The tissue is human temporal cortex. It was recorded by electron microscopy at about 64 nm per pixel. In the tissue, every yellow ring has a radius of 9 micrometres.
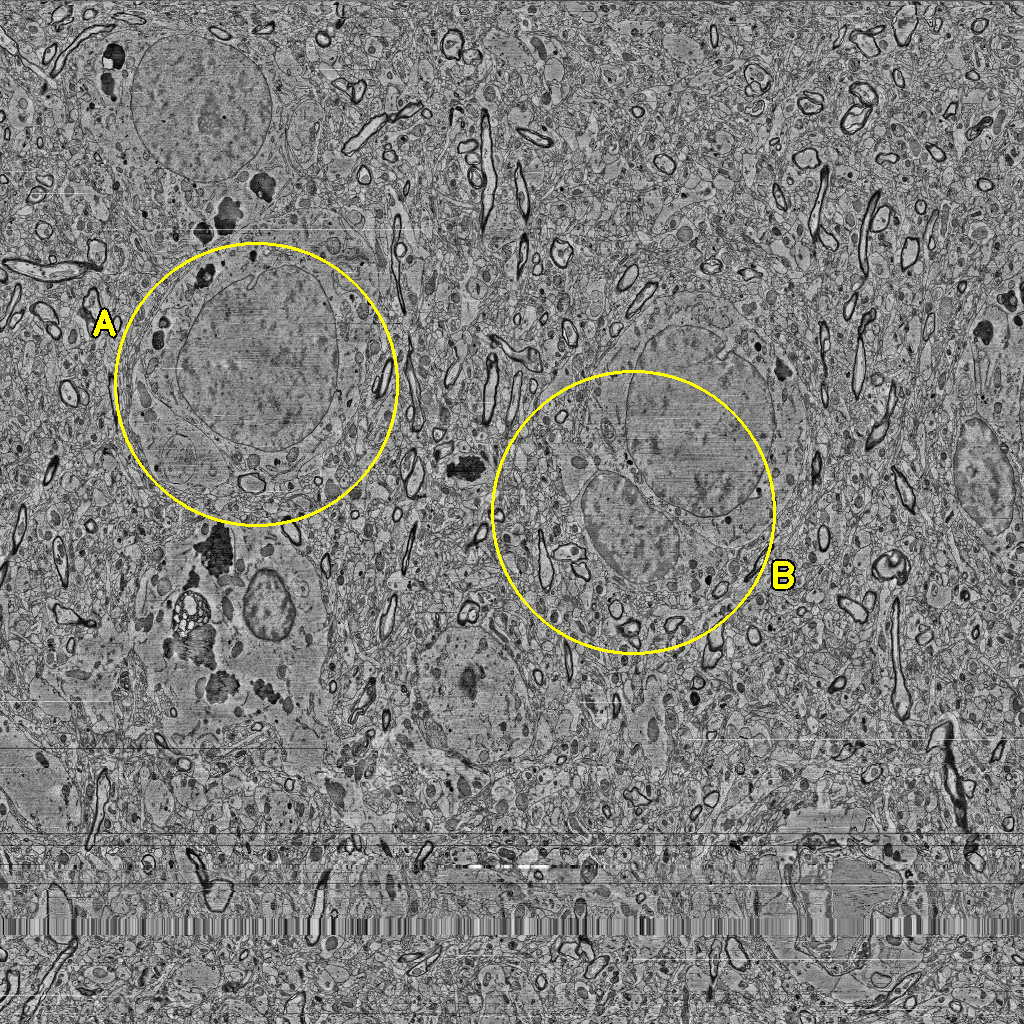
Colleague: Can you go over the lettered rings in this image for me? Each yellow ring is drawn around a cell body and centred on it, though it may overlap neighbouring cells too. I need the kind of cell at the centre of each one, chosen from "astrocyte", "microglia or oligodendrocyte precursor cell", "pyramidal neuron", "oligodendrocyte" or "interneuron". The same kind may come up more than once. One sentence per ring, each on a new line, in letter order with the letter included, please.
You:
Ring A marks the cell body of a pyramidal neuron.
Ring B marks the cell body of an oligodendrocyte.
